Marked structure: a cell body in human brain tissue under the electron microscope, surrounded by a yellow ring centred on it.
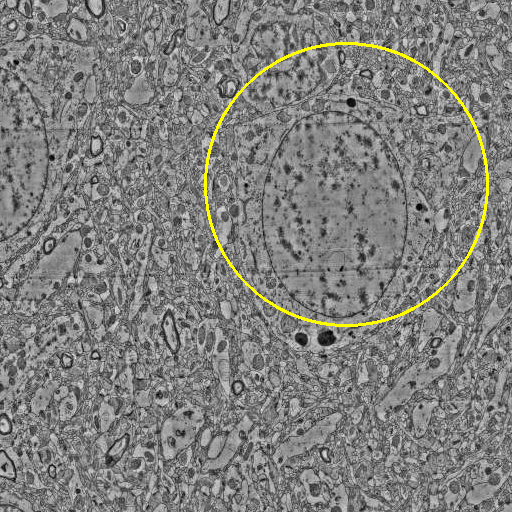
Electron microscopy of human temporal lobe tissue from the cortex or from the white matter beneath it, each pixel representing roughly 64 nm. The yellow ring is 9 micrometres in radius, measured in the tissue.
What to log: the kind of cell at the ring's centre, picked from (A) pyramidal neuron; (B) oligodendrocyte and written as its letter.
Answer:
A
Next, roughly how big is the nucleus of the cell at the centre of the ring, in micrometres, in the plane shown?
In this plane the nucleus is about 13 micrometres by 10.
